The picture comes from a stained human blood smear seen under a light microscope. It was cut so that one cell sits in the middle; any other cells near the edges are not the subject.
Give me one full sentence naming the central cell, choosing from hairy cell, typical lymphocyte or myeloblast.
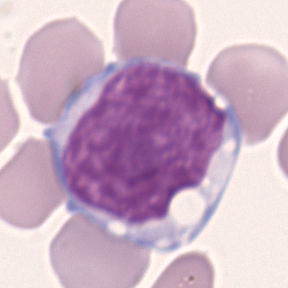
The identification for the central cell is a myeloblast.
